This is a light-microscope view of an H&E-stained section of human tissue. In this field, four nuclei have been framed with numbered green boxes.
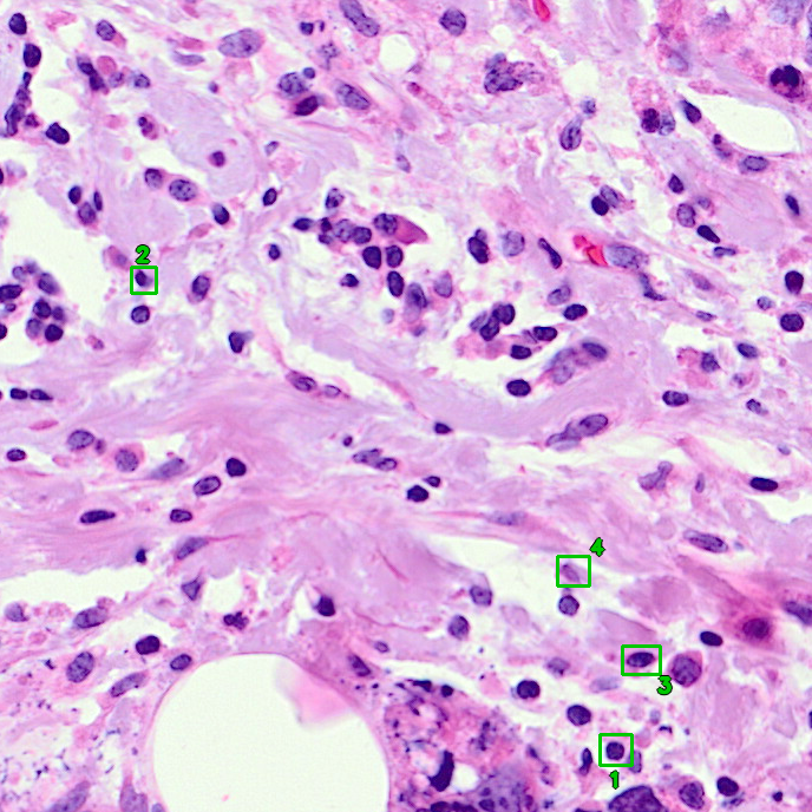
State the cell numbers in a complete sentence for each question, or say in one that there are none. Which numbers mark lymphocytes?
Cells 1, 2 and 3 share one type; they are lymphocytes.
